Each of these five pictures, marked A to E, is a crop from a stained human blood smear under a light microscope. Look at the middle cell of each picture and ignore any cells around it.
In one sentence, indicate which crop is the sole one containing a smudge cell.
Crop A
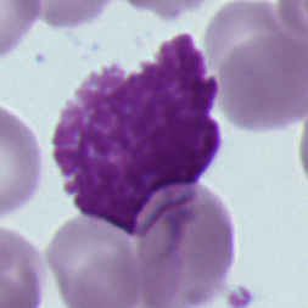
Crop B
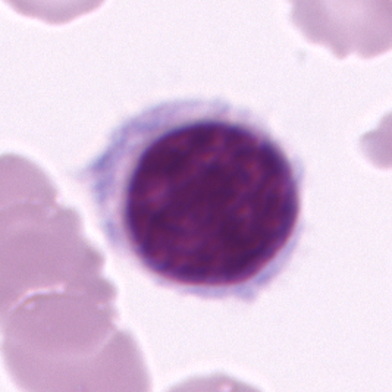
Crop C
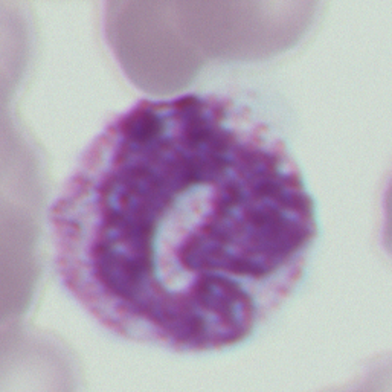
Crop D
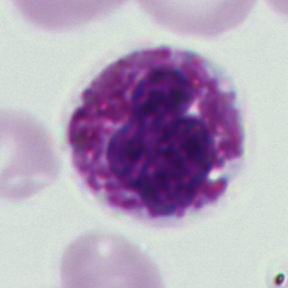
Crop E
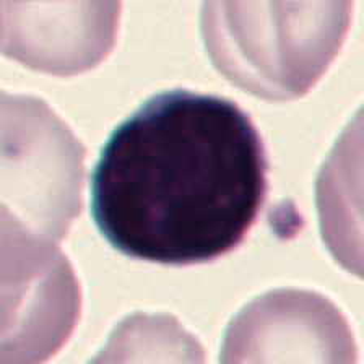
Of the labelled crops, the one that shows a smudge cell is crop A.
